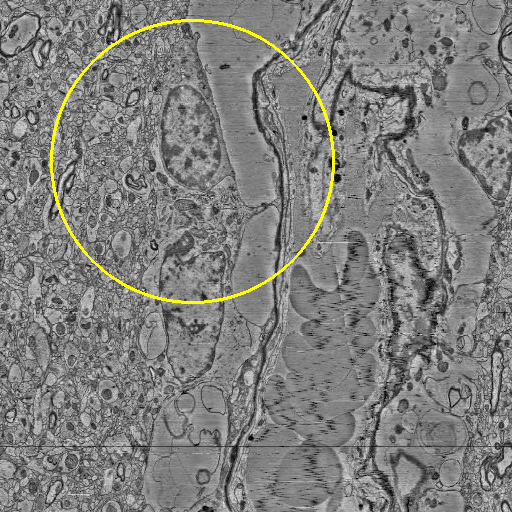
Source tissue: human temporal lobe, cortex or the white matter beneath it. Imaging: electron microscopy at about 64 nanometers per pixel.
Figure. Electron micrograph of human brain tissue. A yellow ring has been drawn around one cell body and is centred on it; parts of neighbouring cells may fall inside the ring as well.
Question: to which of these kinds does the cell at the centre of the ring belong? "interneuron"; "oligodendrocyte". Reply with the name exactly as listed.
oligodendrocyte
